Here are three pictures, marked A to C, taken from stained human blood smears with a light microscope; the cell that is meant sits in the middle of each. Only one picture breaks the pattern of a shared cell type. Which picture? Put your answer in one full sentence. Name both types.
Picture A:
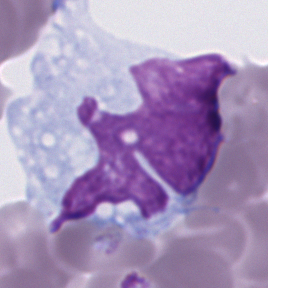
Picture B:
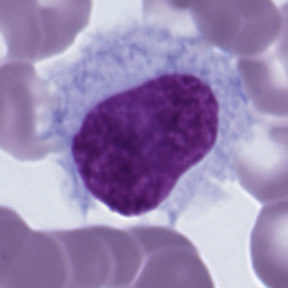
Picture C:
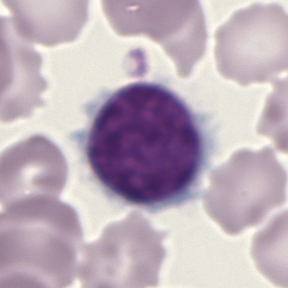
Unlike the rest, which show hairy cells, picture A shows a monocyte.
